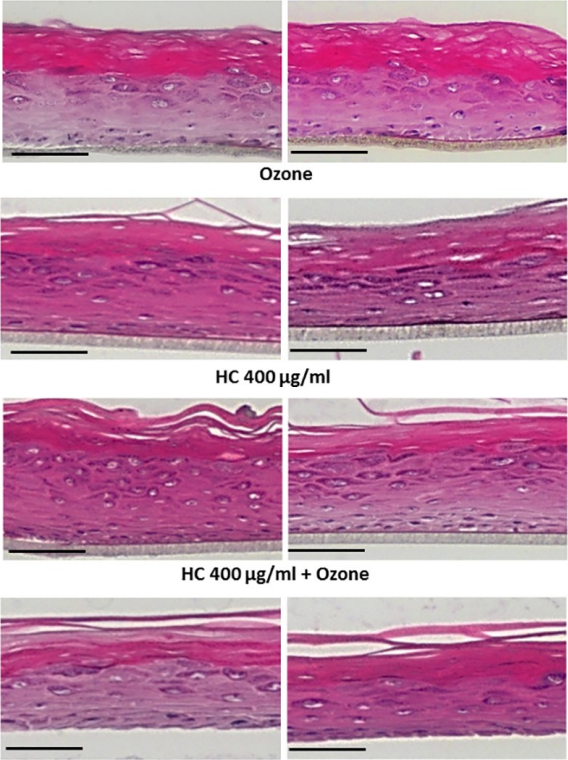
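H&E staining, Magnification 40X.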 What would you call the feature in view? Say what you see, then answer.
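A stratified epithelium made of several layers of cells. A pale lower zone of nucleated cells lies under a bright pink, nucleus-free upper band. The upper band is made of flattened, sheet-like layers. The answer: Basal, spinous, granulous and cornified epidermal layers.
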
